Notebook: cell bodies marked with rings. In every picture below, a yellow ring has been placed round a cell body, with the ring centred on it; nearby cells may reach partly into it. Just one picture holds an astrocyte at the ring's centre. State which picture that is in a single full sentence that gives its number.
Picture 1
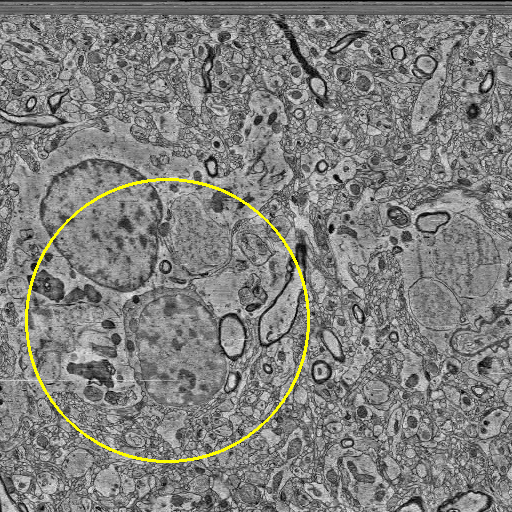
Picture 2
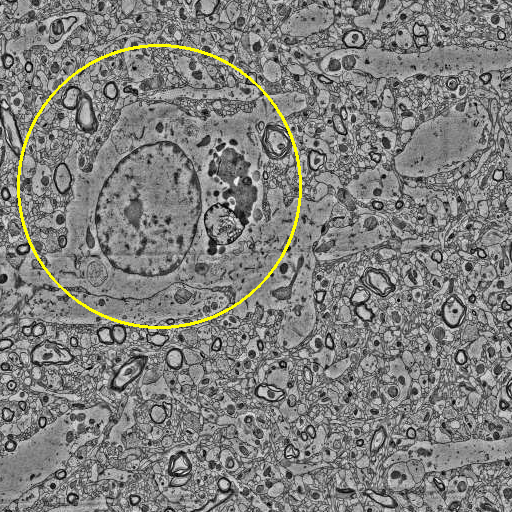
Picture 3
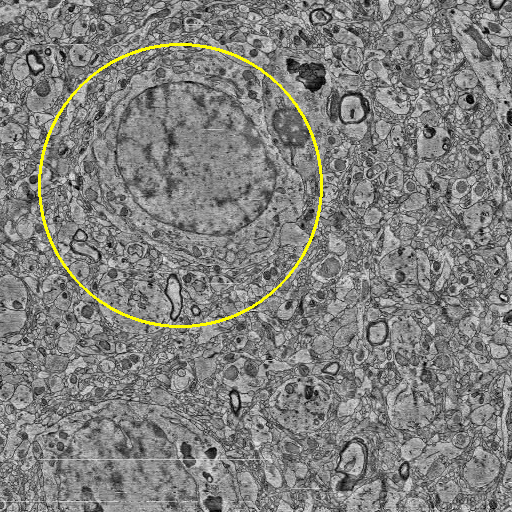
It is picture 2 whose ring has the wanted cell right at its centre.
